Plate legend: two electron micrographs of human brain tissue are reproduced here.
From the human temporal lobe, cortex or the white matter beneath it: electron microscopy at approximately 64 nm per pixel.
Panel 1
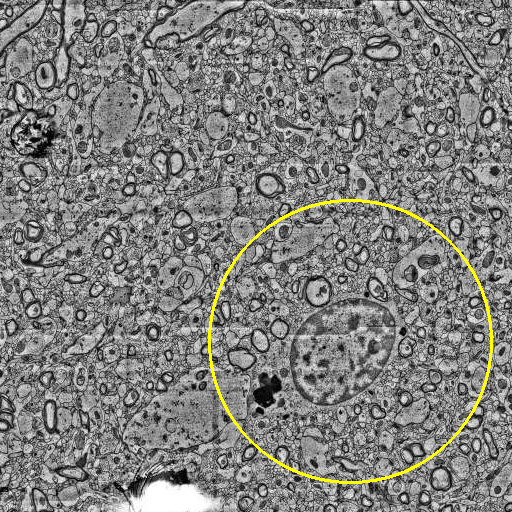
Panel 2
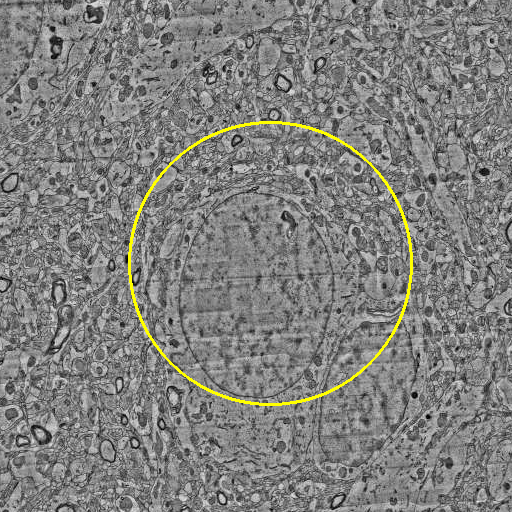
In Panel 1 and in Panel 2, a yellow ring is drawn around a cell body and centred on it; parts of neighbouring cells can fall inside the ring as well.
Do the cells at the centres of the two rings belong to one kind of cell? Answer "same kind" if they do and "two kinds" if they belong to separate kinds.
two kinds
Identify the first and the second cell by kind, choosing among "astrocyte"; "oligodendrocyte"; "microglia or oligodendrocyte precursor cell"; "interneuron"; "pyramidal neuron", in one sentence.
The one in the first picture is an oligodendrocyte, while the one in the second is a pyramidal neuron.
